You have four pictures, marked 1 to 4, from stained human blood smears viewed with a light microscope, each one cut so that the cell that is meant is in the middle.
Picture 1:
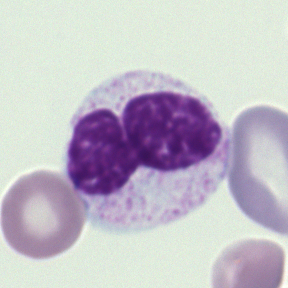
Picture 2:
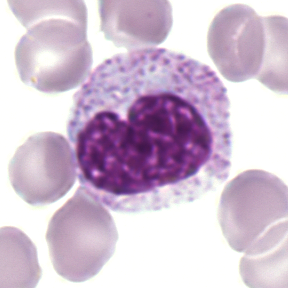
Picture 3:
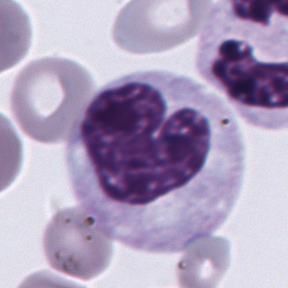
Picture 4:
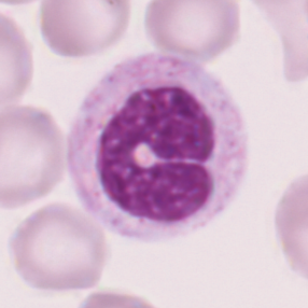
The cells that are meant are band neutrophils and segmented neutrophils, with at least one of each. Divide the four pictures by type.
1: segmented neutrophil
2: band neutrophil
3: band neutrophil
4: band neutrophil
